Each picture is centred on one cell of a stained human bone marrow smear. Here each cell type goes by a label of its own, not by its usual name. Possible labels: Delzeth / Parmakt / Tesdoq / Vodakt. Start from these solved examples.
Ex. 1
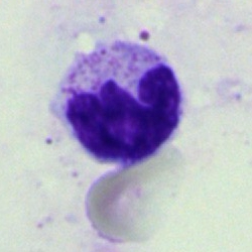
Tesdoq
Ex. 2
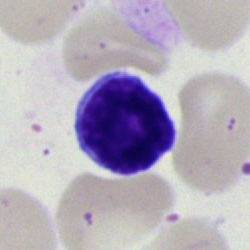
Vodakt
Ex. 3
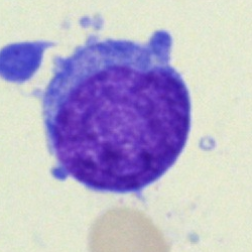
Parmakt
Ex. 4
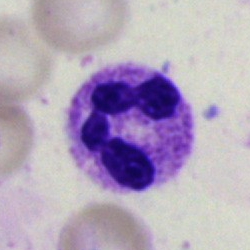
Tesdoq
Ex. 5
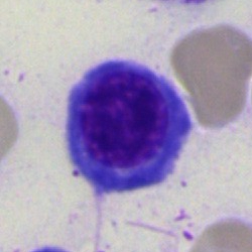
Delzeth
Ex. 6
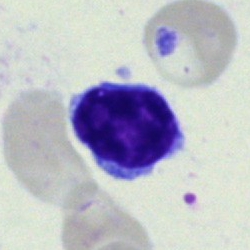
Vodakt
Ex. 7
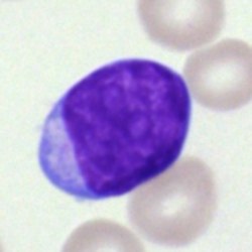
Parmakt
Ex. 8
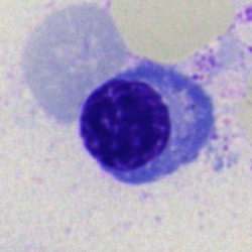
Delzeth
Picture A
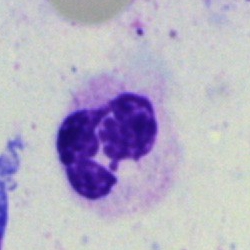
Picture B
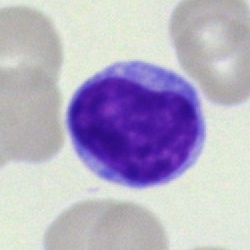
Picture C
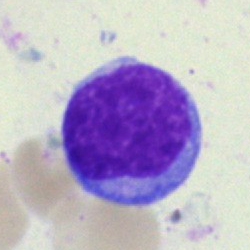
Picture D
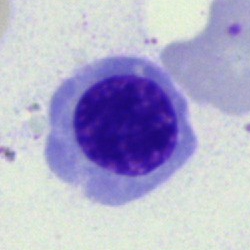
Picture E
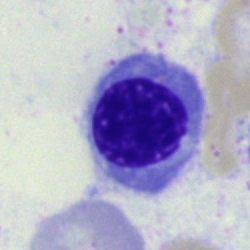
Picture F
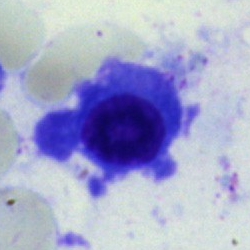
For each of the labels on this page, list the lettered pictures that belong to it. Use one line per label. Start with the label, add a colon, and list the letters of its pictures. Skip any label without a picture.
Delzeth: D, E, F
Parmakt: C
Tesdoq: A
Vodakt: B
